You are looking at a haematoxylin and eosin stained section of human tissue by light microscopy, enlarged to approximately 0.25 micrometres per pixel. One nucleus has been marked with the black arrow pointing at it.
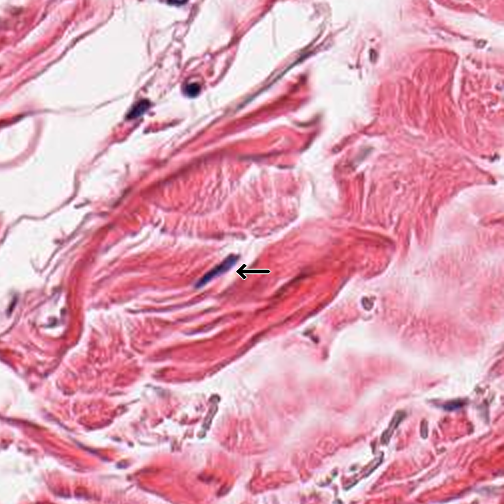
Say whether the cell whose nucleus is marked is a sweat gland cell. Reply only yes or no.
no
